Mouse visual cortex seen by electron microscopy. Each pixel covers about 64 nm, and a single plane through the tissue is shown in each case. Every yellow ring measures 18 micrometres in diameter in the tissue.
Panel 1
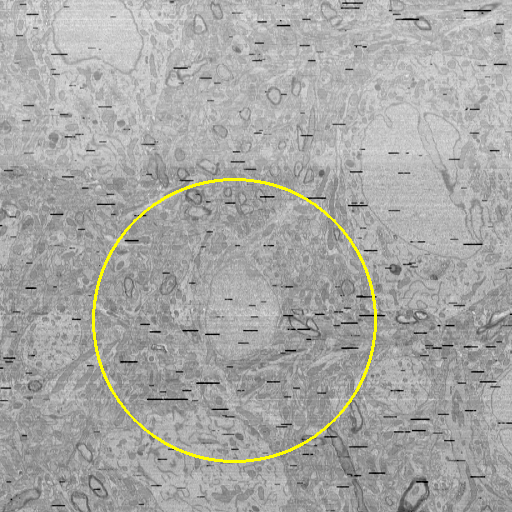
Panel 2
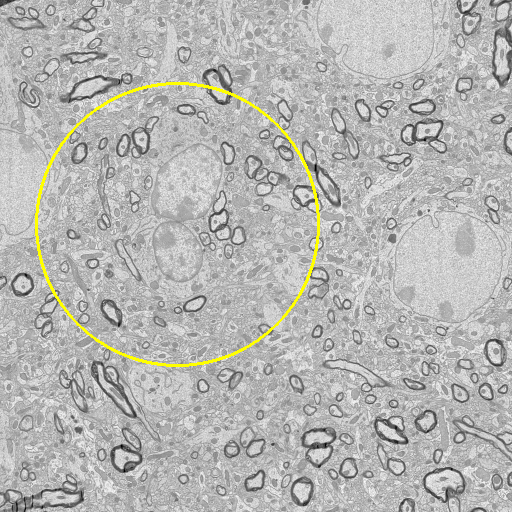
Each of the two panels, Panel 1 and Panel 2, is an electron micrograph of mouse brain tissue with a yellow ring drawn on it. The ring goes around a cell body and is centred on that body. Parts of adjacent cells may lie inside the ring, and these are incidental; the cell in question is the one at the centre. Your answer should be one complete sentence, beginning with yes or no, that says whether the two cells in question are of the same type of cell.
No, the two cells are of two types.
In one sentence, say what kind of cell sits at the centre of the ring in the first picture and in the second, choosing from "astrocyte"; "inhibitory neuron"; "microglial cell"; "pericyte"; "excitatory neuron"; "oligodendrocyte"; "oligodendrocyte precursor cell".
The first picture's ringed cell is an astrocyte, while the second picture's is an oligodendrocyte.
